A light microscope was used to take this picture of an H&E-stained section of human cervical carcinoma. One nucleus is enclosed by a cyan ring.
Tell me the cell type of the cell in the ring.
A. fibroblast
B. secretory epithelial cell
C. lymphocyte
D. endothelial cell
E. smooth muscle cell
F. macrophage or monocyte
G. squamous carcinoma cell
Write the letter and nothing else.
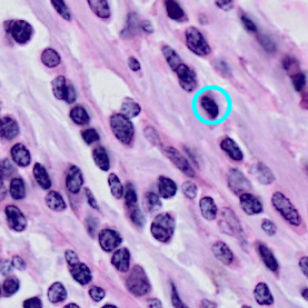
C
